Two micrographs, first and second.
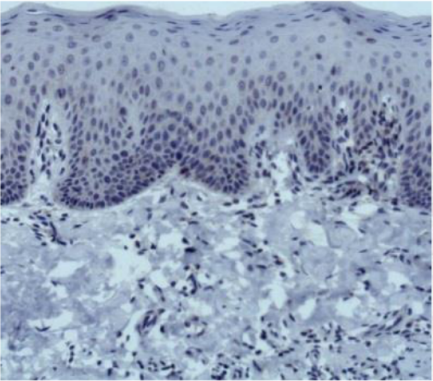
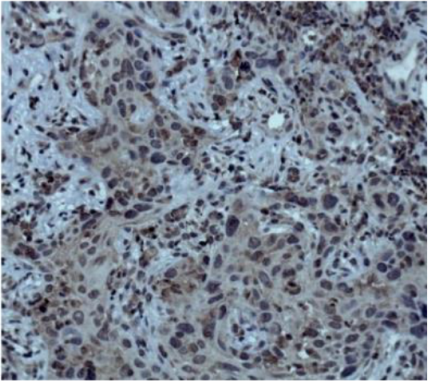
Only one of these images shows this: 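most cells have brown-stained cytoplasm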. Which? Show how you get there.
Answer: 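The second image. First image: the tissue is almost entirely blue, with little or no brown.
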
